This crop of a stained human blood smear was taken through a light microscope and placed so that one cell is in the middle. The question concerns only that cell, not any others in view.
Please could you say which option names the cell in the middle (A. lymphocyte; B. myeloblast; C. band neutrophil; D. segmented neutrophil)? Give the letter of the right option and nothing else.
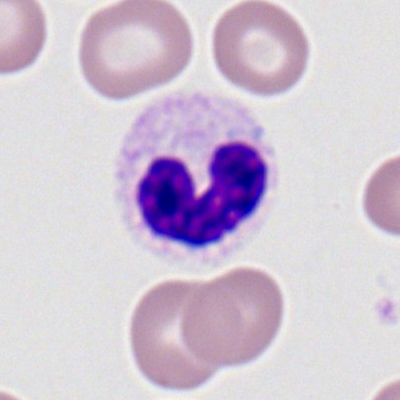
C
